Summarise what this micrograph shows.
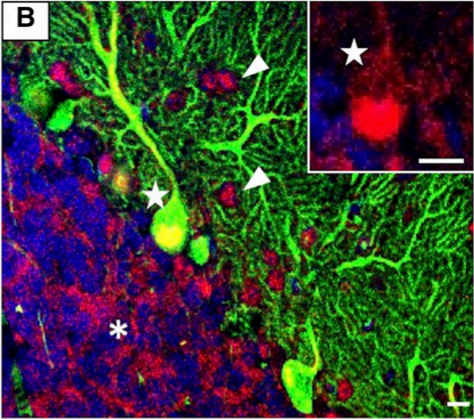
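Cerebellar cortex with large Purkinje cells, granule cells and small cells of the molecular layer. Green Purkinje cell bodies lie at the edge of a layer of densely packed small round nuclei. Thick green dendrites rise from them and branch through the molecular layer. Red punctate label fills the granule cell layer, and small red cell bodies are scattered among the dendrites.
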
